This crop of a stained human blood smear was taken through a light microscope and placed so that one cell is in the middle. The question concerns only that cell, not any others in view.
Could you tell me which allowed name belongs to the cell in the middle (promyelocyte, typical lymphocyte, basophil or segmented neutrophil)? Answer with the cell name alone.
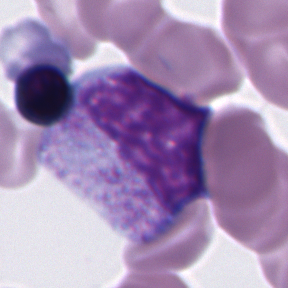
promyelocyte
